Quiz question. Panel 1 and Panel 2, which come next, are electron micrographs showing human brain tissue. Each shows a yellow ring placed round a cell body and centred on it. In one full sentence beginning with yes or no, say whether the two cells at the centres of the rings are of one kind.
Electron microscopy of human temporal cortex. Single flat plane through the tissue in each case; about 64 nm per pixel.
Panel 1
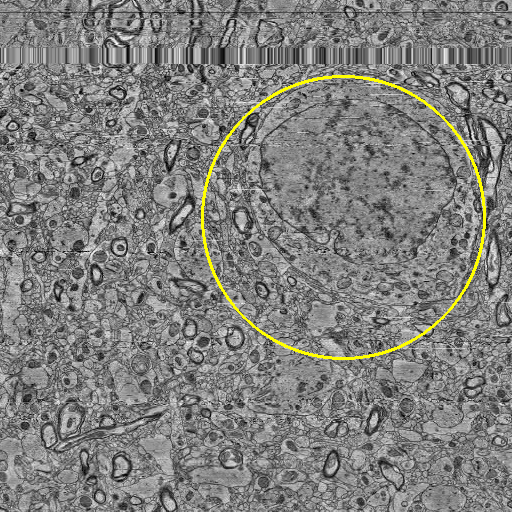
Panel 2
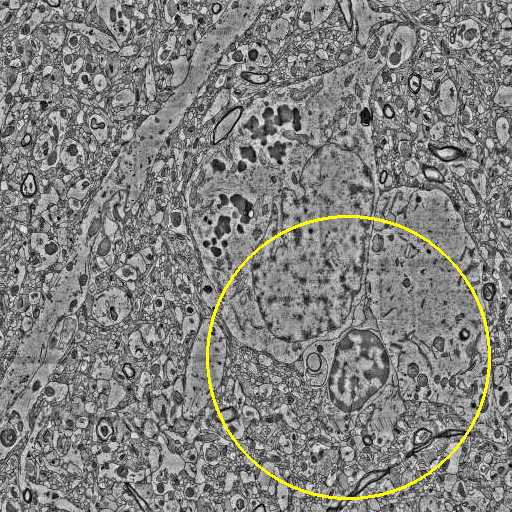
No, Panel 1 and Panel 2 show two kinds of cell at the centre of the ring.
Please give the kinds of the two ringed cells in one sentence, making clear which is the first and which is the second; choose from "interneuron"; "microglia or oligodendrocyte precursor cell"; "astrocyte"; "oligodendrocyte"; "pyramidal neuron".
In the second picture the ringed cell is a microglial cell or oligodendrocyte precursor cell; in the first it is a pyramidal neuron.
